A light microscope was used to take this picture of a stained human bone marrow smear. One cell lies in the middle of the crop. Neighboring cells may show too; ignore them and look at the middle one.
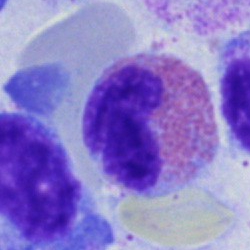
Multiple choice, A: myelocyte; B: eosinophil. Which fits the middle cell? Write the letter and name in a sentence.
Option B is the keyed answer: the cell in the middle is an eosinophil.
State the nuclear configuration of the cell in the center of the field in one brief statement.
Have a look at the nucleus, which is one compact mass, round, oval or kidney-shaped.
